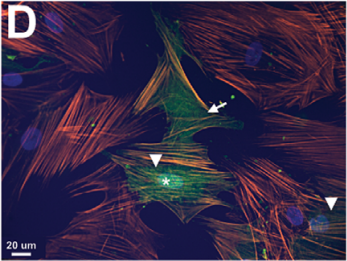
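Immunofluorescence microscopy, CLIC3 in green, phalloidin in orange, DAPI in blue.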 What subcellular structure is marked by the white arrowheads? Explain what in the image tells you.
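An arrowhead points to green signal bordering a blue oval body in the cell centre. On this evidence: perinuclear region.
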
